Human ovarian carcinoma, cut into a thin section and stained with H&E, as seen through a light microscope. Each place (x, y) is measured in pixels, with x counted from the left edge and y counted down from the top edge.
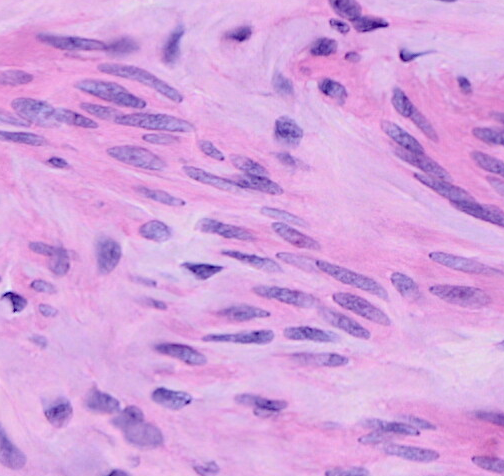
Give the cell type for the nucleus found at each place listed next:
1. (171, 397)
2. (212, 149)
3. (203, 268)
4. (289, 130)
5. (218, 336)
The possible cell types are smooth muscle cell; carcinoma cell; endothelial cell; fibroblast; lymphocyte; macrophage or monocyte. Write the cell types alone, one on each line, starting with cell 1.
fibroblast
smooth muscle cell
fibroblast
fibroblast
smooth muscle cell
